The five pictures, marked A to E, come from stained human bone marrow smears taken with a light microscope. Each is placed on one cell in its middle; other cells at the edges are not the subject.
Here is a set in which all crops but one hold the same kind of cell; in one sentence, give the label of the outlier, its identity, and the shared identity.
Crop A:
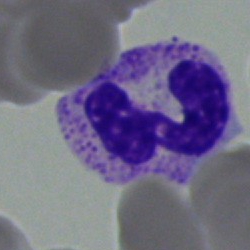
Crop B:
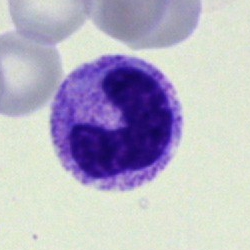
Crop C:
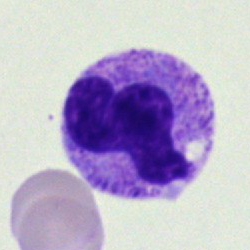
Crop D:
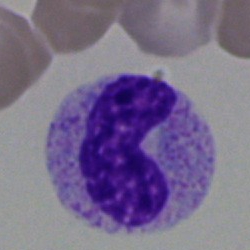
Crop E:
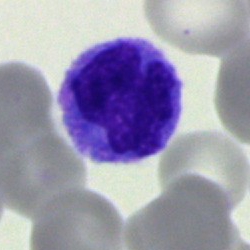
Crop E is a monocyte, and the other crops all show band neutrophils.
